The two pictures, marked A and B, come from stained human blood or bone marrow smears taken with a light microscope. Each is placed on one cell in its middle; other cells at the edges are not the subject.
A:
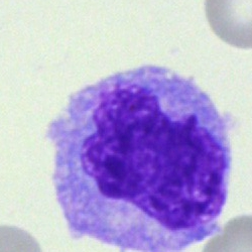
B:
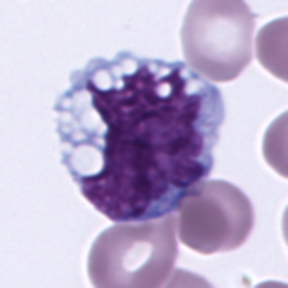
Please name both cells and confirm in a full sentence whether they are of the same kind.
Yes, the cells at the centres of the two crops are monocytes.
